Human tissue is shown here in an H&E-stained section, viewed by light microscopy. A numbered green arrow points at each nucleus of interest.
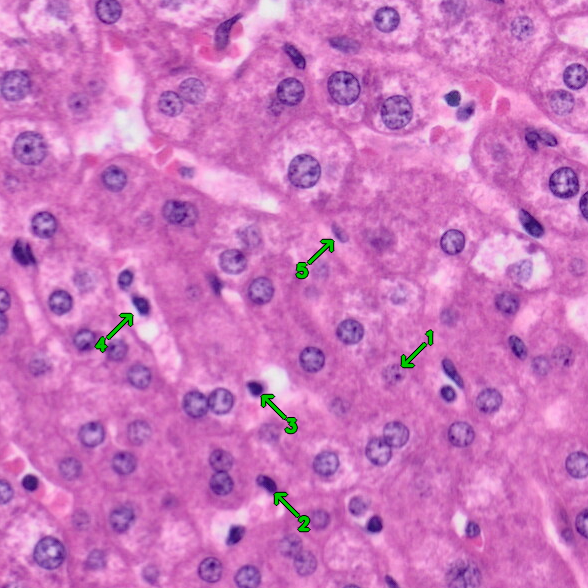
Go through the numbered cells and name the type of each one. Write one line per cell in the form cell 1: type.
cell 1: hepatocyte
cell 2: fibroblast or stellate cell
cell 3: lymphocyte
cell 4: lymphocyte
cell 5: endothelial cell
